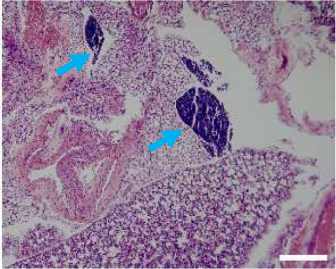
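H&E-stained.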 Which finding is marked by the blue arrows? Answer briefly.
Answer: Lesions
